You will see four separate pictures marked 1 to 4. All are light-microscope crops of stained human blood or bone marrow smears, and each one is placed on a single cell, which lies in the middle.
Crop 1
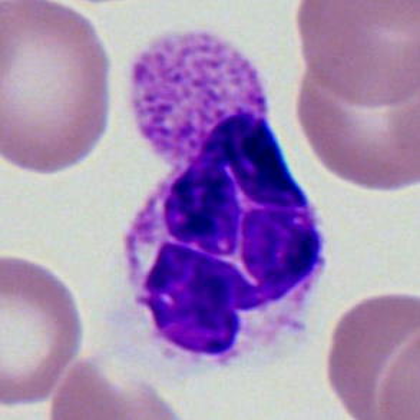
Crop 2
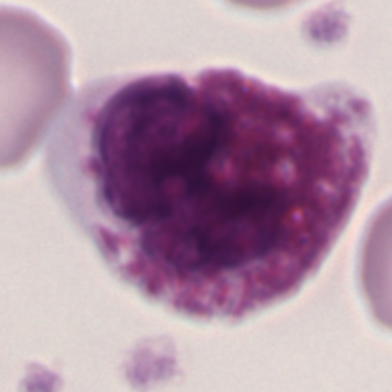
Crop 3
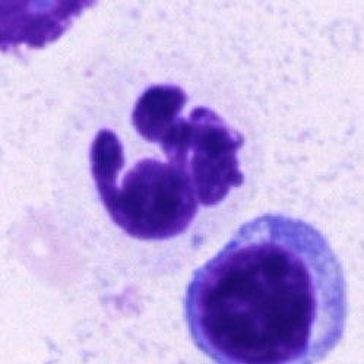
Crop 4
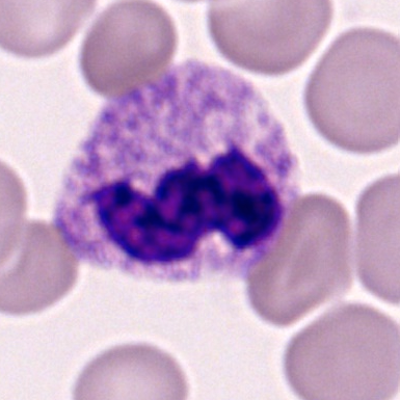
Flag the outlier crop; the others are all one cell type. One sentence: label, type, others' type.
Crop 2 is not like the others: it is an eosinophil, and they are segmented neutrophils.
